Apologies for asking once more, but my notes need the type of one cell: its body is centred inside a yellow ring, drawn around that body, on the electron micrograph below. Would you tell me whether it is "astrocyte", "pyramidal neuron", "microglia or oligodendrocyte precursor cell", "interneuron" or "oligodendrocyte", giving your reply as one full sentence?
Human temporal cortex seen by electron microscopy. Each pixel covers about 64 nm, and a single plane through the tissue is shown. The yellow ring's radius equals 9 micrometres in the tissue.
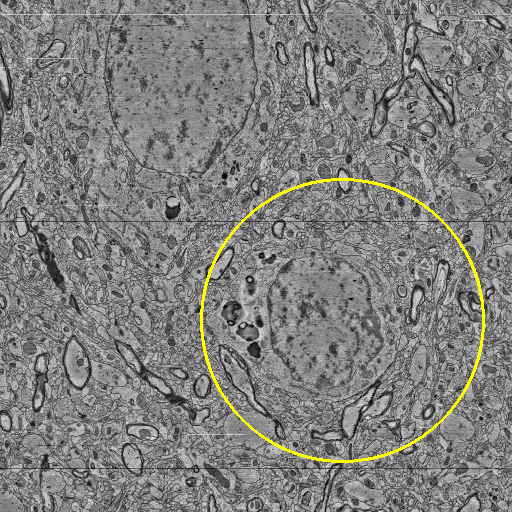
The cell that the yellow ring is centred on is an interneuron in this micrograph.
